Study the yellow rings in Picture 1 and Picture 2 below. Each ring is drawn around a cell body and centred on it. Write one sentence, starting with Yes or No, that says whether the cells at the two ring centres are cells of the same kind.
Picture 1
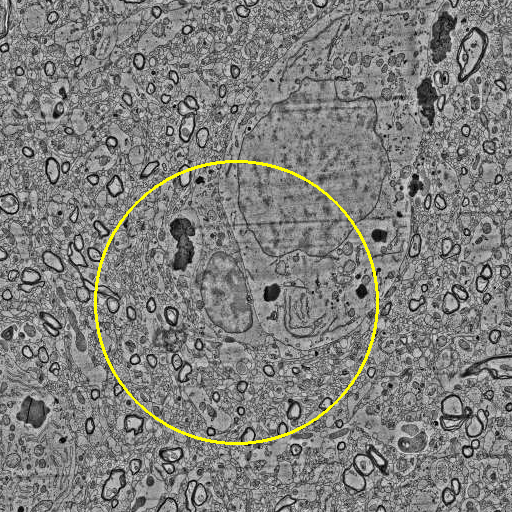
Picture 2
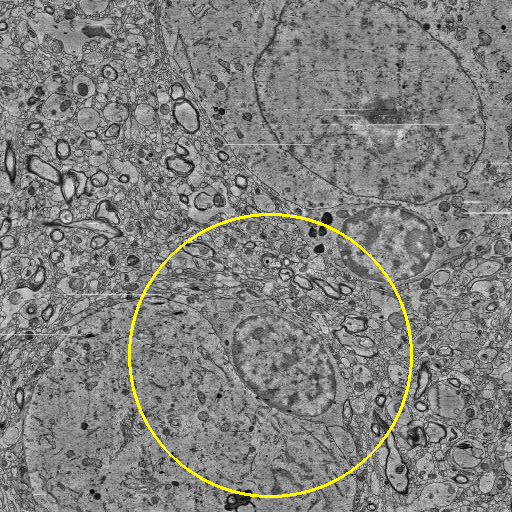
No, the cells at the ring centres are of two kinds.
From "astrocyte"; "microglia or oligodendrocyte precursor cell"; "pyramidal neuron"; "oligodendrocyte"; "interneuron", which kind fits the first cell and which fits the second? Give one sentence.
The cell marked in the first picture is an oligodendrocyte, and the one marked in the second is a microglial cell or oligodendrocyte precursor cell.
